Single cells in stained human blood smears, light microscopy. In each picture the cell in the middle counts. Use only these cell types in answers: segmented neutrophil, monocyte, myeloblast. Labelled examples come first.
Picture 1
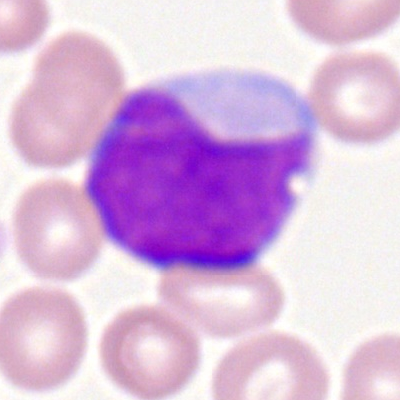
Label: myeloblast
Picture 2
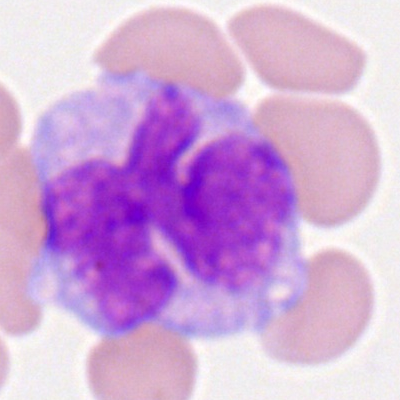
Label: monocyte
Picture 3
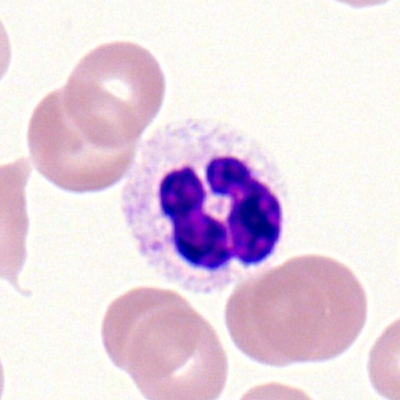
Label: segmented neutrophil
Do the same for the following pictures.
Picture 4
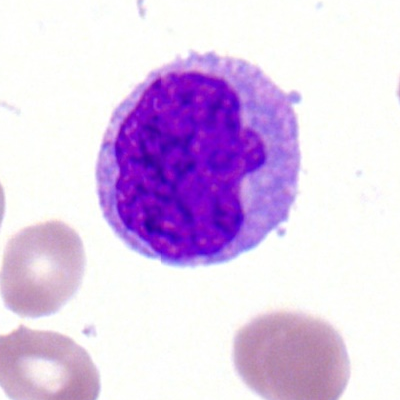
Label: monocyte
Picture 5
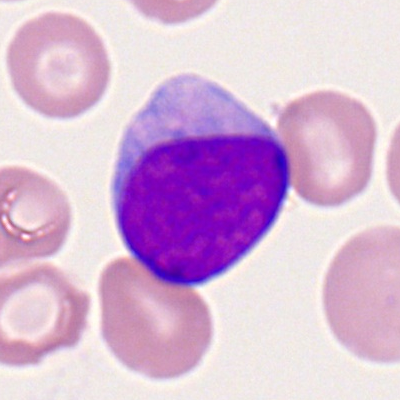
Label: myeloblast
